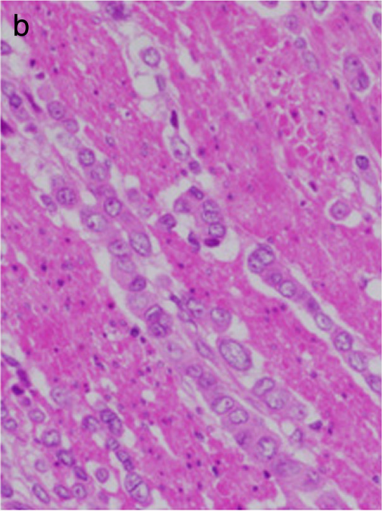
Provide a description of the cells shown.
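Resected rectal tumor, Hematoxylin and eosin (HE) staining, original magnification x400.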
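The cells are arranged singly and in loose rows running diagonally, with little cohesion and clear spaces between many of them. Between the rows lie pink fibrous strands. No glands are formed, and the cells do not make a coherent epithelial layer.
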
